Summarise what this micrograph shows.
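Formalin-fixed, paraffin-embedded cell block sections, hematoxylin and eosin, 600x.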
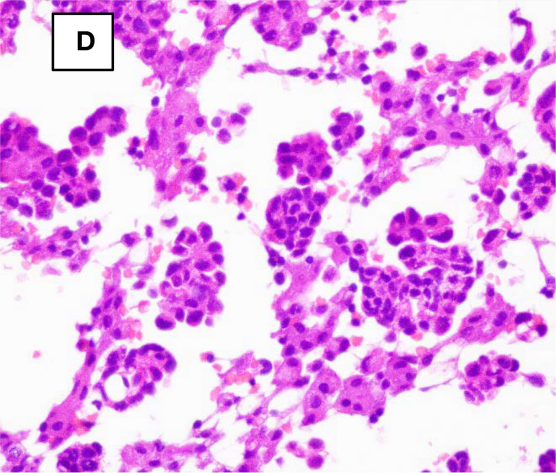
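This section shows clusters of tumor cells intermixed with numerous histiocytes and inflammatory cells. The tumor cells form tight groups with crowded, enlarged, dark purple nuclei and little cytoplasm. Between them lie many single cells with abundant pale pink cytoplasm and smaller oval nuclei, together with small round cells. Clear spaces separate the groups and a few red blood cells are scattered throughout.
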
